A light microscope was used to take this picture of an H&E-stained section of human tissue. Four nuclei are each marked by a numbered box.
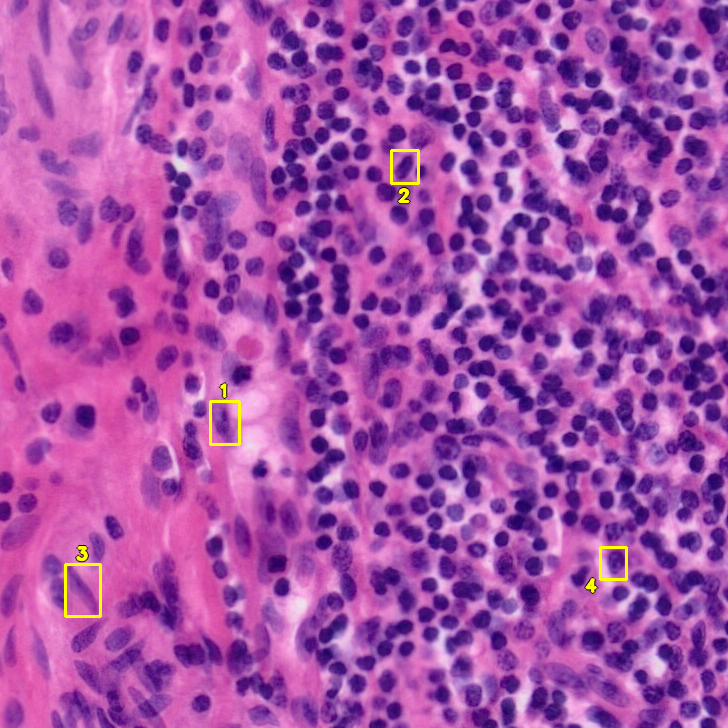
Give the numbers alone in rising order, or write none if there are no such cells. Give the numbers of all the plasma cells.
4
